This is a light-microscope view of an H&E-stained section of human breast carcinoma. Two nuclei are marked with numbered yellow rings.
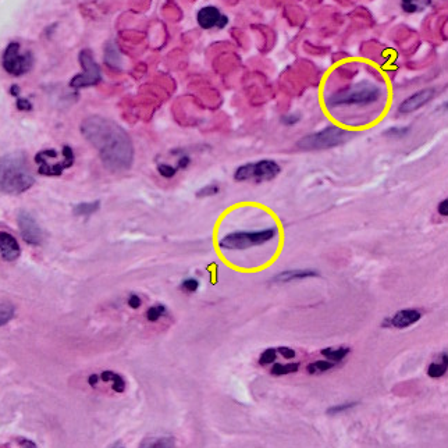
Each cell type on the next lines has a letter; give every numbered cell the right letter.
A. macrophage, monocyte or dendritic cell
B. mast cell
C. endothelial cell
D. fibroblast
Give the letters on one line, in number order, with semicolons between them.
D; C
